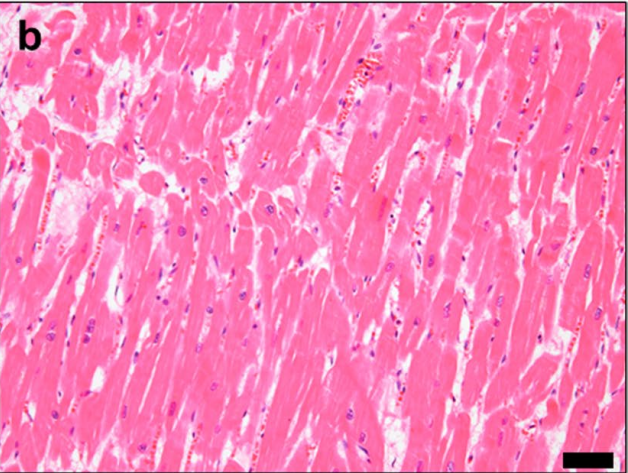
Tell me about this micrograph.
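This is cardiac muscle made of broad pink muscle fibres lying side by side in a regular parallel array. Each fibre carries a centrally placed nucleus, and many of these nuclei are large, plump and somewhat boxy. Thin pale spaces separate the fibres, and capillaries filled with red blood cells run between them. The wide fibres with enlarged nuclei indicate hypertrophic cardiac muscle cells, with only a little extra connective tissue between them.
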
